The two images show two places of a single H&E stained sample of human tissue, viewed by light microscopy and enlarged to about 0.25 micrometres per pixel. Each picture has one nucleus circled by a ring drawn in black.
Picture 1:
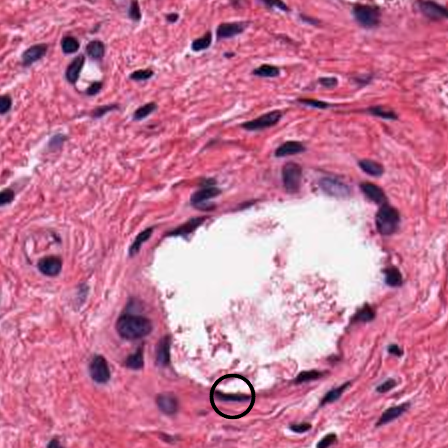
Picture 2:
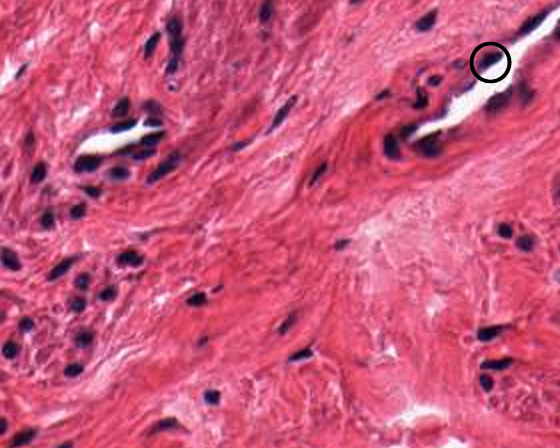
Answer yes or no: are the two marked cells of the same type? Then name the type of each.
Yes, both are endothelial cells.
